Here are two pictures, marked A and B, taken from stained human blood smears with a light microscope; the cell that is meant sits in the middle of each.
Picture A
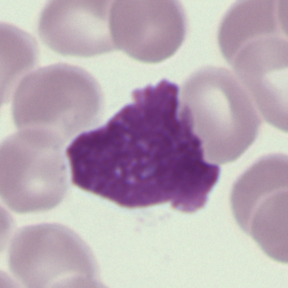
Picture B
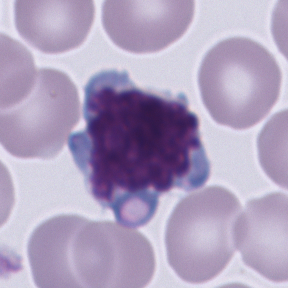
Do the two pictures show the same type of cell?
no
